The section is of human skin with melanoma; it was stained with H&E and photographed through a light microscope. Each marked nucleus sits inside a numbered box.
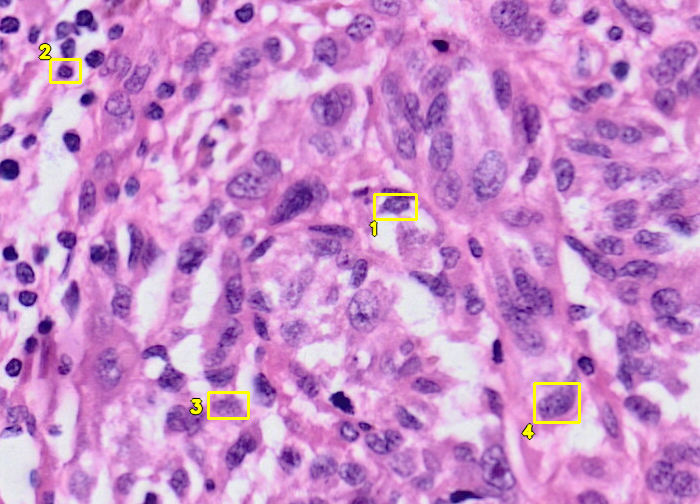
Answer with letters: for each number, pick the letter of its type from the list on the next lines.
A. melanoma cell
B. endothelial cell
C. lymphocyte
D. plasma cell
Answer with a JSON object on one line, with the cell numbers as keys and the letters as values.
{"1": "A", "2": "C", "3": "A", "4": "A"}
